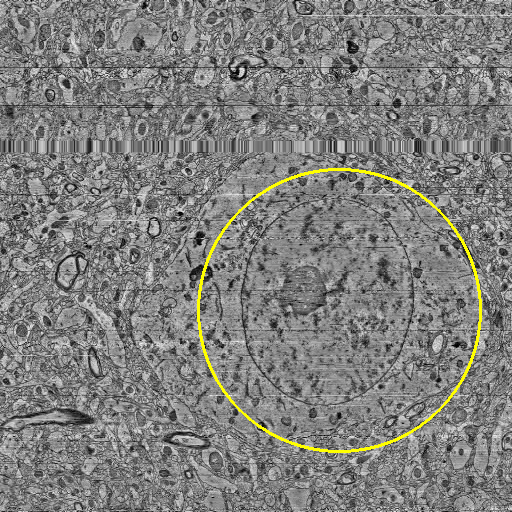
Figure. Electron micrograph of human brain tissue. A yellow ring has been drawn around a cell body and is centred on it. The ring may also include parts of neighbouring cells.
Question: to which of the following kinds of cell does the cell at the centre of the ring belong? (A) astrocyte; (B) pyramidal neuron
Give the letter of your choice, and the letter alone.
B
